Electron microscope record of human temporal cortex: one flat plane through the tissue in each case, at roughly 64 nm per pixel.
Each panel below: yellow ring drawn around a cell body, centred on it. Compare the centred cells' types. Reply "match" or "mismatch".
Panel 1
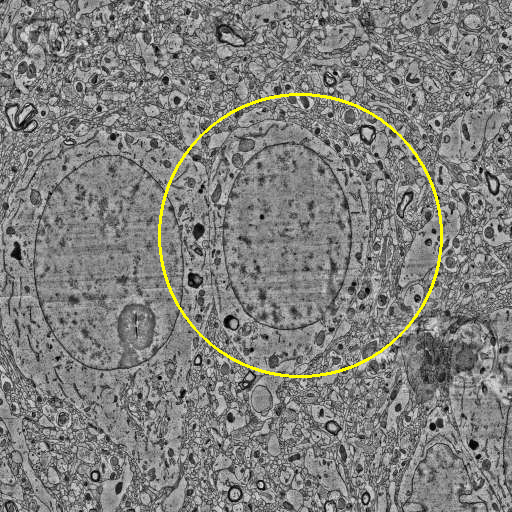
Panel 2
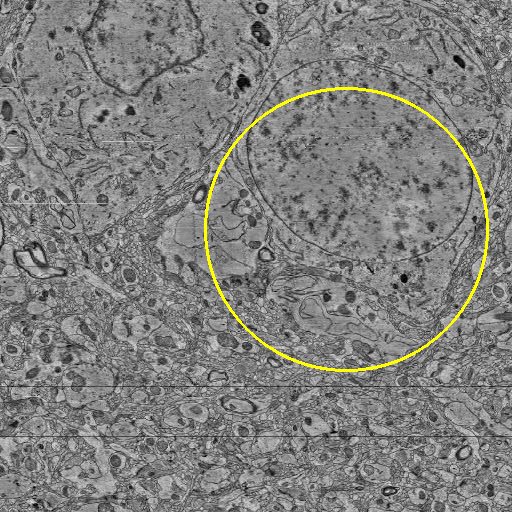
match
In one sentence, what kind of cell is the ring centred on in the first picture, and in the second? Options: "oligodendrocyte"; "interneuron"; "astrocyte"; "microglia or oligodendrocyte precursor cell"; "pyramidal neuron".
In the first picture and in the second, the ring is centred on a pyramidal neuron.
